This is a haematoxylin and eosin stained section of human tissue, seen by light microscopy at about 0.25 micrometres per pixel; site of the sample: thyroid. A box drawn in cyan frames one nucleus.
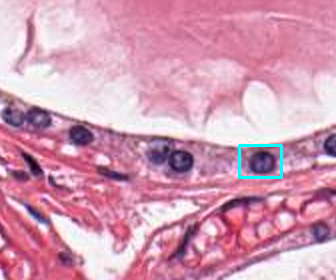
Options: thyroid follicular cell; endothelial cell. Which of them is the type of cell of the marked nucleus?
thyroid follicular cell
